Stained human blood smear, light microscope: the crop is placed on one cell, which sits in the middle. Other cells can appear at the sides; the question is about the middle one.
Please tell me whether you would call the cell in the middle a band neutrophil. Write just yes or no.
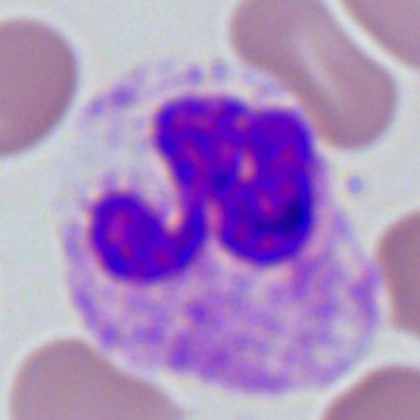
no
